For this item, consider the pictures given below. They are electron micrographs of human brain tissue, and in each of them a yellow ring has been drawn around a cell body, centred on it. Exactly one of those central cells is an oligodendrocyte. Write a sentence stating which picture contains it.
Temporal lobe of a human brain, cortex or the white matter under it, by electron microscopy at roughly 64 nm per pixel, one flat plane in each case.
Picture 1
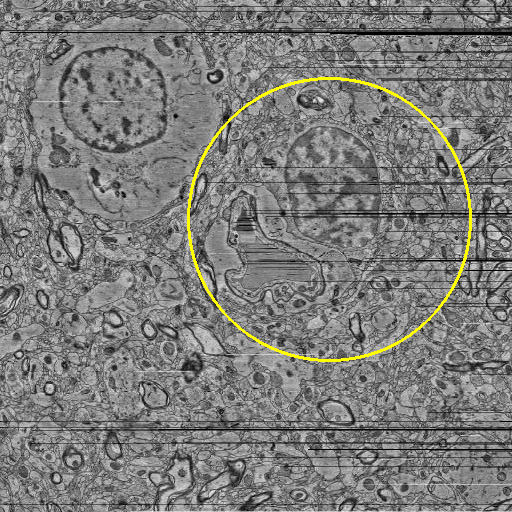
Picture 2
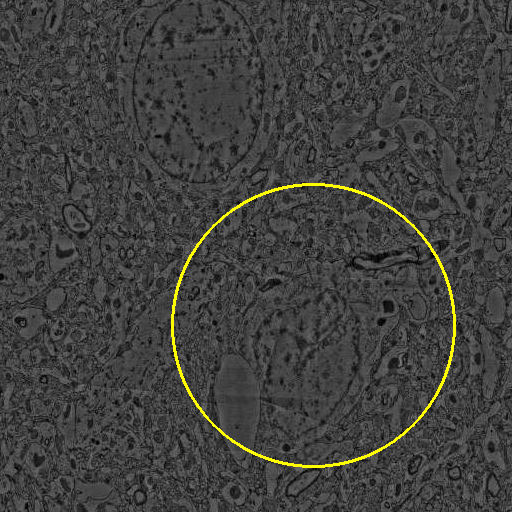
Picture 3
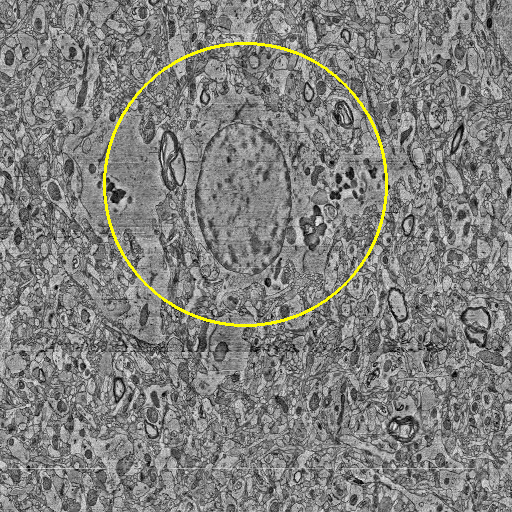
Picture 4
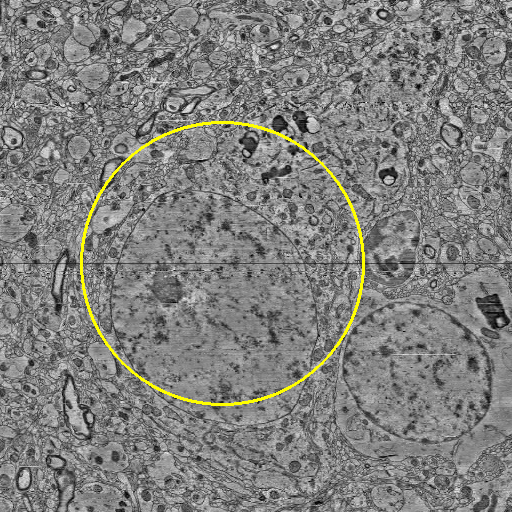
It is in Picture 1.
